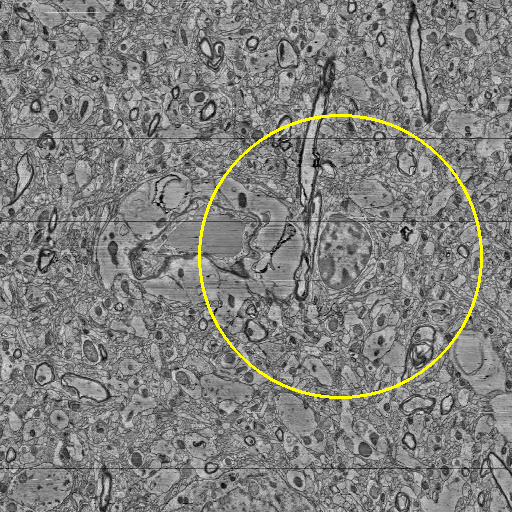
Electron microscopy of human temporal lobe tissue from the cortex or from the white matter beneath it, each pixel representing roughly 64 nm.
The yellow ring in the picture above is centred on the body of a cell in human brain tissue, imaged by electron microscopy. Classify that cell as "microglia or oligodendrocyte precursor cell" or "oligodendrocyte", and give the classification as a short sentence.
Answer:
The cell in the middle of the ring is a microglial cell or oligodendrocyte precursor cell.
